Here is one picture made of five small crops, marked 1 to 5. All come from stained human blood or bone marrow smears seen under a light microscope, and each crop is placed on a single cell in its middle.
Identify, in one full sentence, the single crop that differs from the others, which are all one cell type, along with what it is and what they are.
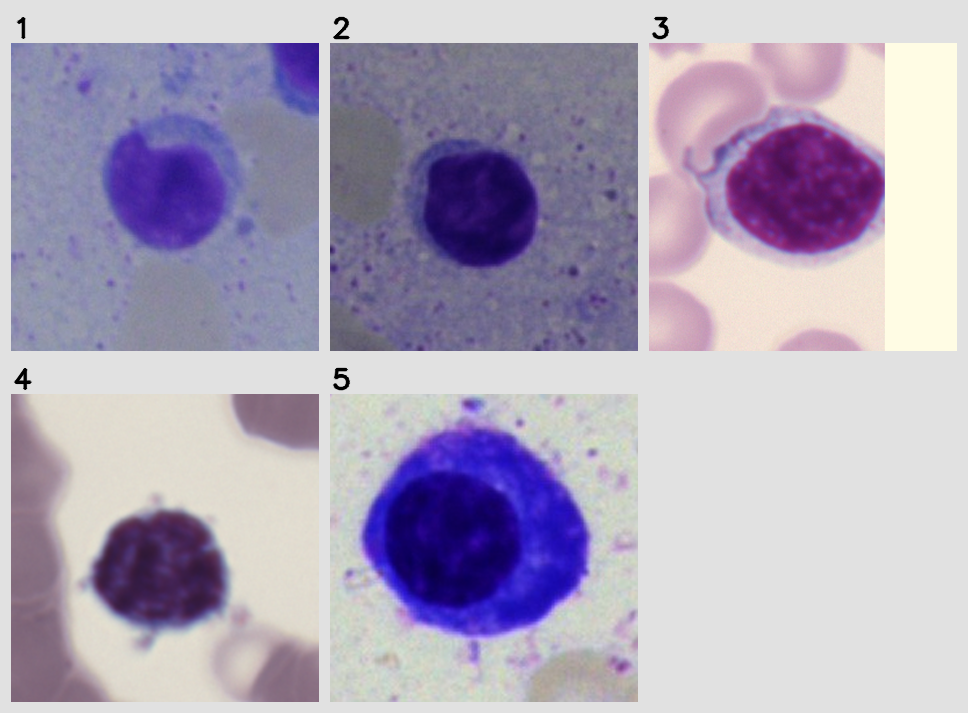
Crop 5 is the sole crop with a plasma cell; the others all have lymphocytes.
